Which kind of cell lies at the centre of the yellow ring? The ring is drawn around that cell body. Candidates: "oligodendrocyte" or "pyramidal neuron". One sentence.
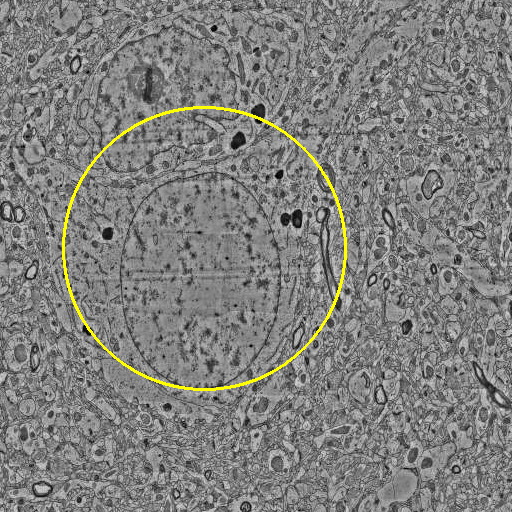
Lying at the centre of the ring is a pyramidal neuron.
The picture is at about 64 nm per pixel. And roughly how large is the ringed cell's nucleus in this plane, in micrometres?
In this plane, the nucleus of the cell at the centre of the ring measures about 14 by 10 micrometres.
